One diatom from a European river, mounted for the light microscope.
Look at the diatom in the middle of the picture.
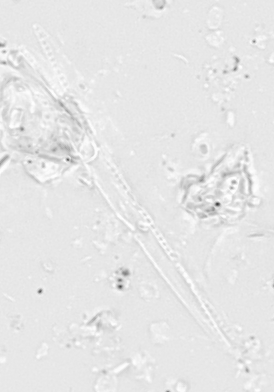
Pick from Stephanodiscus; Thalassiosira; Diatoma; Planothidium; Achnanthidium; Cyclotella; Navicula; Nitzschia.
Nitzschia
